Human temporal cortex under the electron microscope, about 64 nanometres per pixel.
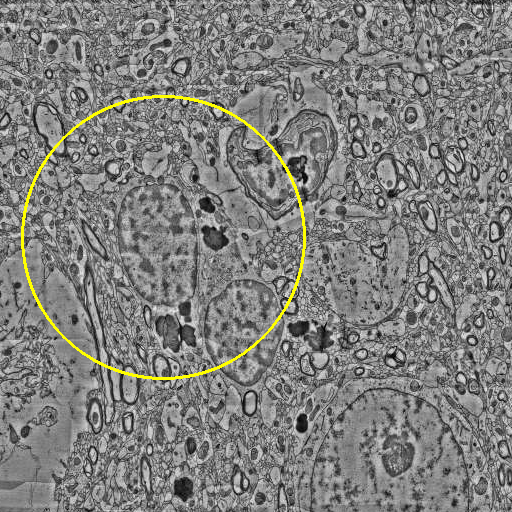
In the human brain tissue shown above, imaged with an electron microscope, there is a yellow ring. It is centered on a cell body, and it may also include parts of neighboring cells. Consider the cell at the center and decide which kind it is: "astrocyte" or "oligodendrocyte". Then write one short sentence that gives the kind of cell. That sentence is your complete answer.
This centered cell body is that of an oligodendrocyte.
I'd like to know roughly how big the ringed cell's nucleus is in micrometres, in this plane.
The nucleus is about 9 micrometres in length and 5 in width, clearly longer than it is wide in this plane.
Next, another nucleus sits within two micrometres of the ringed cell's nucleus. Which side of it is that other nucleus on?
The other nucleus appears to the lower right of it.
